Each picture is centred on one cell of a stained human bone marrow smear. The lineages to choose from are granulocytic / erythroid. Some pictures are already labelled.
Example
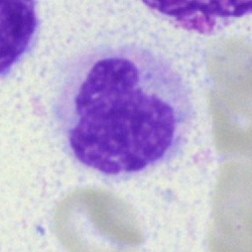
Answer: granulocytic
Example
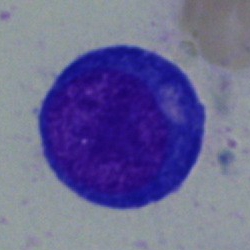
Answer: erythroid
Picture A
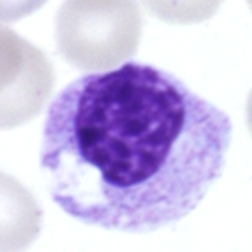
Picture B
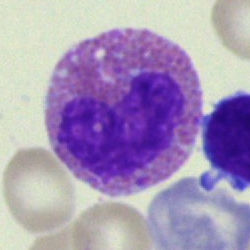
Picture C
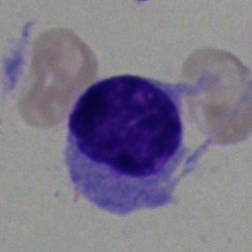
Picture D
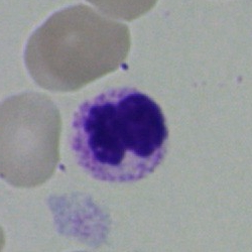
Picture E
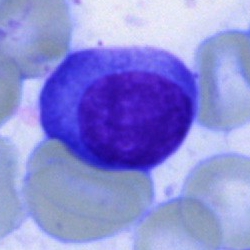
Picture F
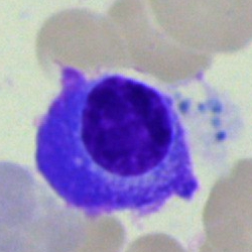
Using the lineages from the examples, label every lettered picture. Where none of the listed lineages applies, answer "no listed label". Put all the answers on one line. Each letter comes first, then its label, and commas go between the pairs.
A granulocytic, B granulocytic, C no listed label, D granulocytic, E no listed label, F no listed label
